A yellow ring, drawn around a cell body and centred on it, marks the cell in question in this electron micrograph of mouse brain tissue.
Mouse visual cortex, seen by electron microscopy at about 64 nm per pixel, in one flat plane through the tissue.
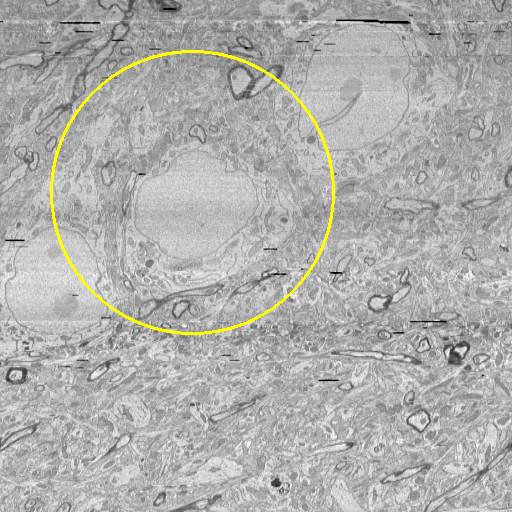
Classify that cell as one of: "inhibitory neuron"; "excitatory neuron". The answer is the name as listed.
inhibitory neuron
